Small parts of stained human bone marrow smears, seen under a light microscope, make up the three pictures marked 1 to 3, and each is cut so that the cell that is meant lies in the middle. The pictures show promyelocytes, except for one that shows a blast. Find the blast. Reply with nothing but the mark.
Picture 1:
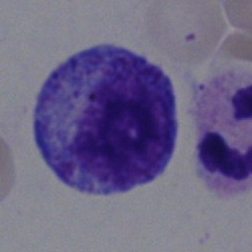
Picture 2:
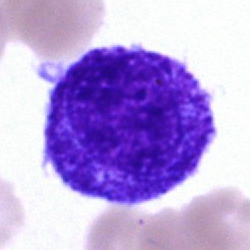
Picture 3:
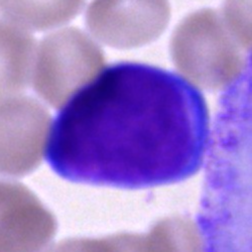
3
